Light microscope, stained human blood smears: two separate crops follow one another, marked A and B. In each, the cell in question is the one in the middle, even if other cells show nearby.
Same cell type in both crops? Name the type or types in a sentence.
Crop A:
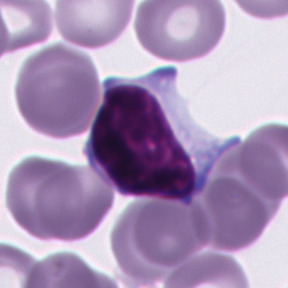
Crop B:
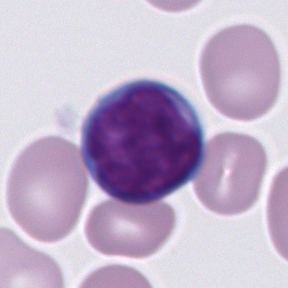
Yes, the cells at the middle of both crops are lymphocytes.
